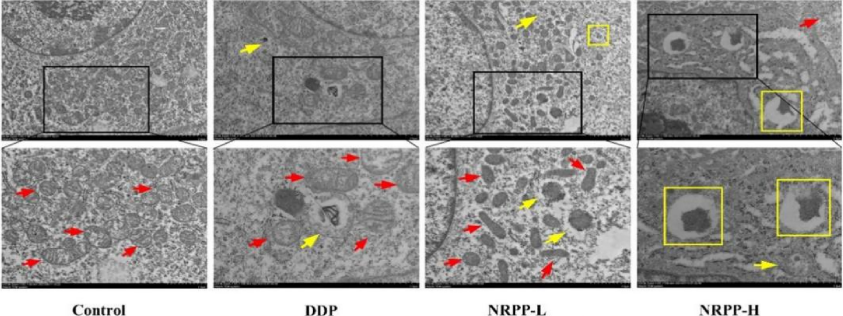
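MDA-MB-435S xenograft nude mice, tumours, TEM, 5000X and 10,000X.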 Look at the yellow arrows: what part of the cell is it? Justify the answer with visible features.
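Autophagosomes. The yellow arrows point to small membrane-bound vesicles in the cytoplasm. Some of the marked vesicles contain dense material.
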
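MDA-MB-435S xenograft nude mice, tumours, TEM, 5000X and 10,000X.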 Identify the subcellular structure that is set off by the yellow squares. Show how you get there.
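Autolysosomes. The yellow squares enclose round vacuoles with a pale halo.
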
